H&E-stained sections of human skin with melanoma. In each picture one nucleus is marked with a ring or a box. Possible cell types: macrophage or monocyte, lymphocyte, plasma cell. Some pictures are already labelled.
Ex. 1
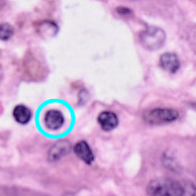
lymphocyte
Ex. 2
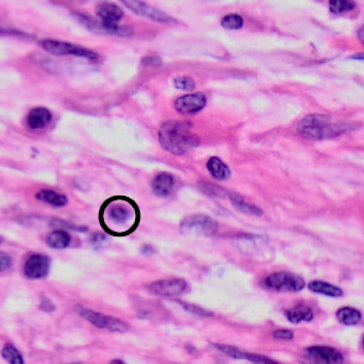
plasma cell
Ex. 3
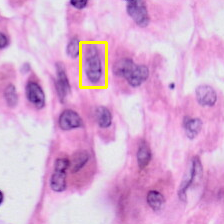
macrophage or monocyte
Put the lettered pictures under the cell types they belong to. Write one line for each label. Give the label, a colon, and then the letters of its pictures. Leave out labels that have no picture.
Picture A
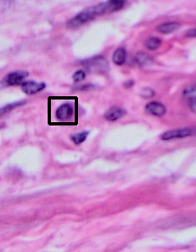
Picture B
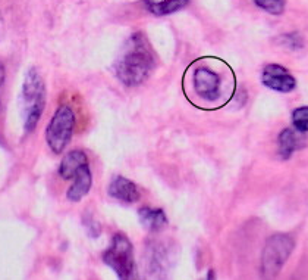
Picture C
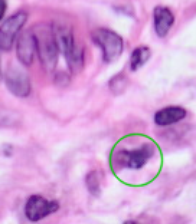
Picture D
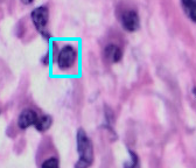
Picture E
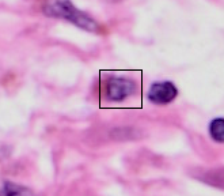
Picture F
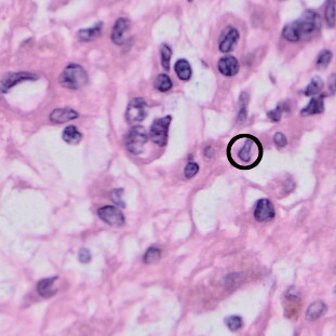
macrophage or monocyte: B, E, F
lymphocyte: D
plasma cell: A, C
